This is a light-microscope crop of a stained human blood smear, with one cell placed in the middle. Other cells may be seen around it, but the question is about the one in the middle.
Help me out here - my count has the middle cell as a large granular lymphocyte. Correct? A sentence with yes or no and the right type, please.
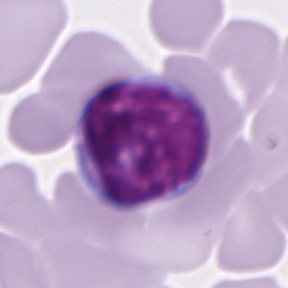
No, not a large granular lymphocyte here; the centered cell is a typical lymphocyte.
